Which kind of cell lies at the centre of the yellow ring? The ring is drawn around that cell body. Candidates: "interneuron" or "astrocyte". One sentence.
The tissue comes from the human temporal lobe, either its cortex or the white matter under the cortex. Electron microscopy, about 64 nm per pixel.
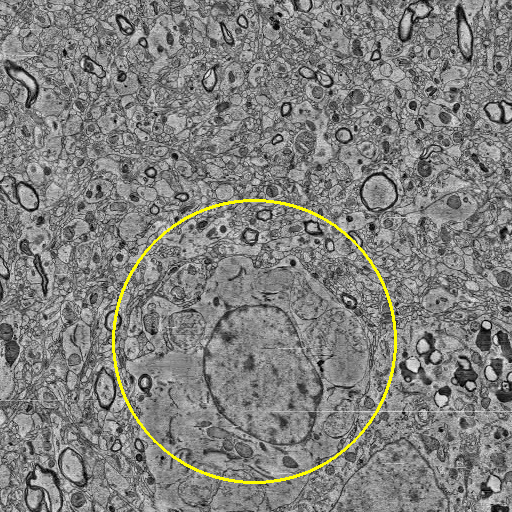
Lying at the centre of the ring is an astrocyte.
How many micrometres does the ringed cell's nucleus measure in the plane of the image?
About 10 micrometres by about 7 micrometres in this plane.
